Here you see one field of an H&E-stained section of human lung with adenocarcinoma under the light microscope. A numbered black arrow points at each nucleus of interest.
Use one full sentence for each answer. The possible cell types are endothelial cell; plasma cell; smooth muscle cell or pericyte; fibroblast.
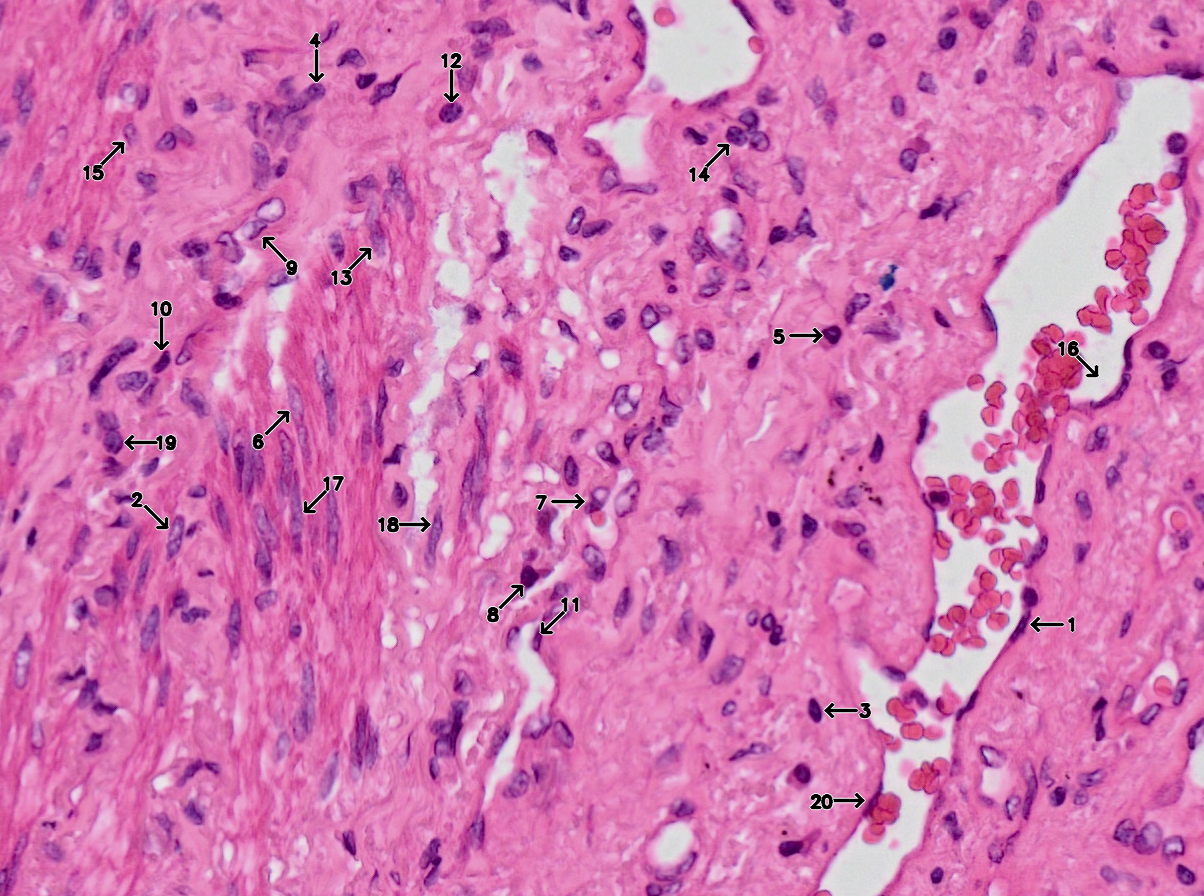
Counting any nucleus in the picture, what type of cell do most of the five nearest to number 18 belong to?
Most of the five nuclei nearest to number 18 are those of smooth muscle cells or pericytes.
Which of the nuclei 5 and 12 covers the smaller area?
With nucleus 12 about 1.5 times its size, nucleus 5 is the smaller of the two.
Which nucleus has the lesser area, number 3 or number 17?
With nucleus 17 about 2 times its size, nucleus 3 is the smaller of the two.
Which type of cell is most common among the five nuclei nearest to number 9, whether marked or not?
Around number 9, most of the five nearest nuclei are those of endothelial cells.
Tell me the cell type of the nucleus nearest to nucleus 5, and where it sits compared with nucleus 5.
The nearest one is a fibroblast, found above and to the right of nucleus 5.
